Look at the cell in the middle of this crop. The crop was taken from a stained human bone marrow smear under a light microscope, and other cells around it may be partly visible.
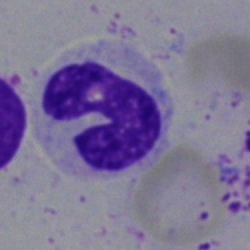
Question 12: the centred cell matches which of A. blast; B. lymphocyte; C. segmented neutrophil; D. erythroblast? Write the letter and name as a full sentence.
Option C is to be chosen, as the central cell is a segmented neutrophil.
